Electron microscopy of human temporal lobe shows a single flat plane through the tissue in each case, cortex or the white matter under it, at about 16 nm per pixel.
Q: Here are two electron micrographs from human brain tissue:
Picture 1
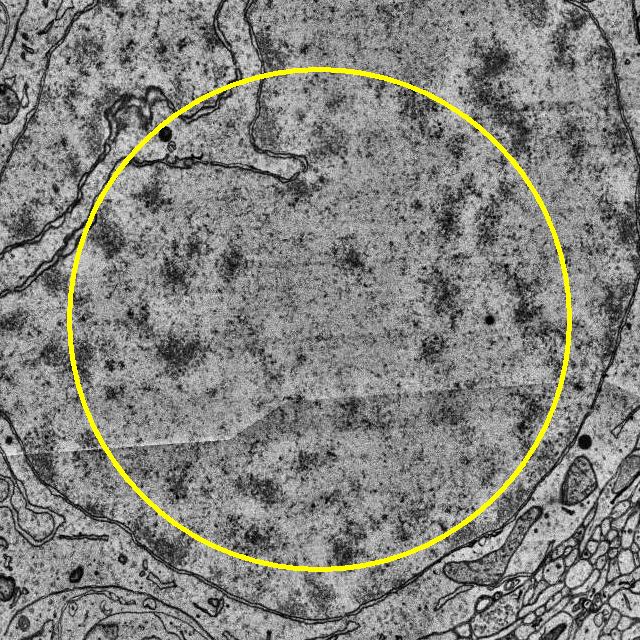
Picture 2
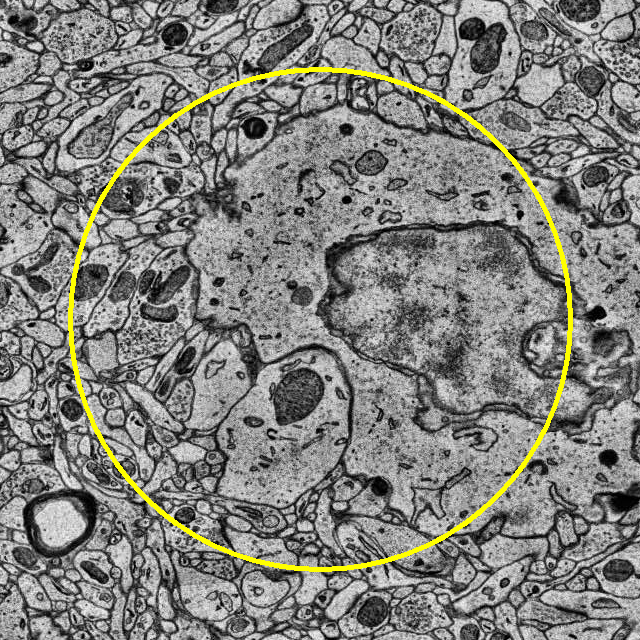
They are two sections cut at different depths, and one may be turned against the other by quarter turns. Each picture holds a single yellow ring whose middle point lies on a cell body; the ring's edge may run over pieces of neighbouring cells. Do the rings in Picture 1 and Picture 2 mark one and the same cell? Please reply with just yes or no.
yes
